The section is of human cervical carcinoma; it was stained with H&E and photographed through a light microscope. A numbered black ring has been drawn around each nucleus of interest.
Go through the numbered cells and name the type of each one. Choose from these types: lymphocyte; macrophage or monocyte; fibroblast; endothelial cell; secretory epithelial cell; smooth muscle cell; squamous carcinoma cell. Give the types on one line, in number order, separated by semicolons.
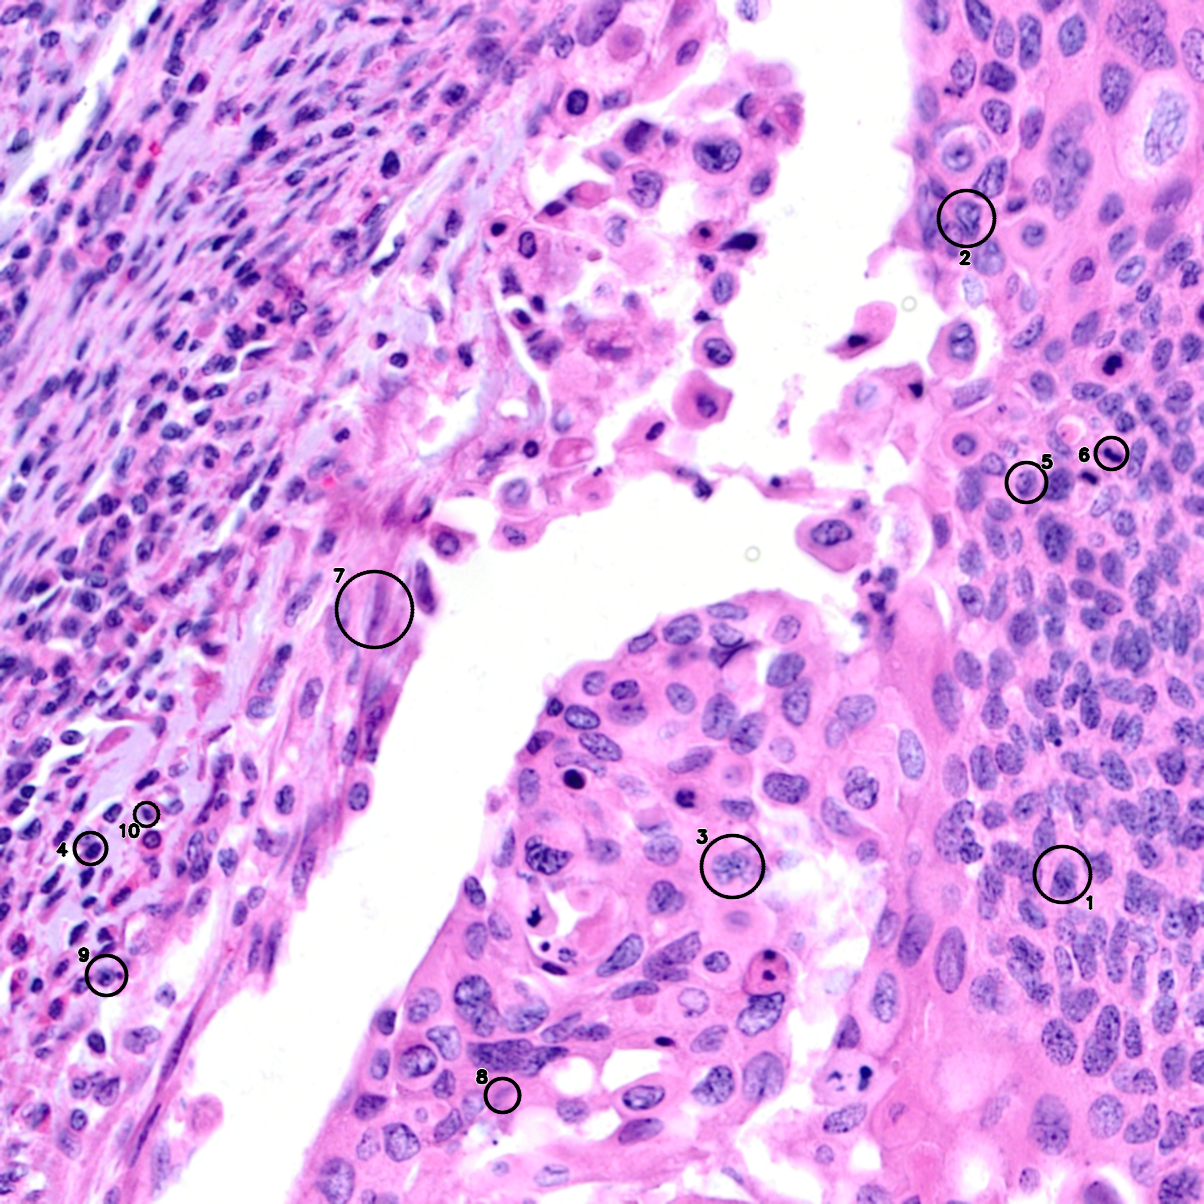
squamous carcinoma cell; squamous carcinoma cell; squamous carcinoma cell; lymphocyte; squamous carcinoma cell; squamous carcinoma cell; fibroblast; squamous carcinoma cell; lymphocyte; lymphocyte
